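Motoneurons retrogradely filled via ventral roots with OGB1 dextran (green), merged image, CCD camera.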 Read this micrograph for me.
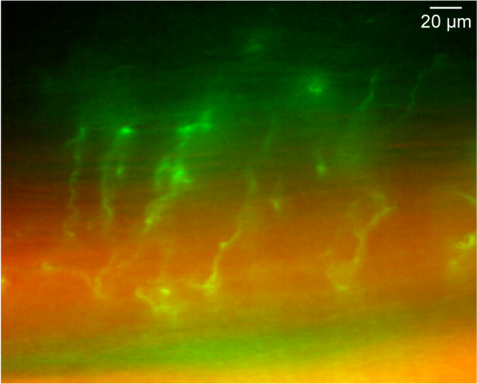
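Numerous thin, beaded, tortuous green processes run roughly top to bottom and branch, with small bright swellings and a few brighter spots where processes join. The upper field is dark with sparse processes. The lower third is dominated by diffuse red-orange fluorescence in broad horizontal bands, lying across the green processes, which overlap it and appear yellow where the two colours meet. The image is somewhat out of focus, with background haze and faint horizontal streaking.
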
